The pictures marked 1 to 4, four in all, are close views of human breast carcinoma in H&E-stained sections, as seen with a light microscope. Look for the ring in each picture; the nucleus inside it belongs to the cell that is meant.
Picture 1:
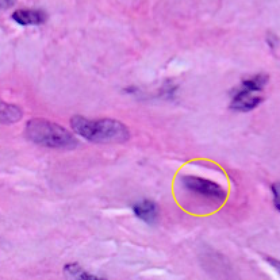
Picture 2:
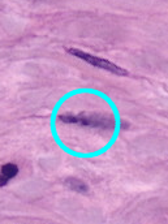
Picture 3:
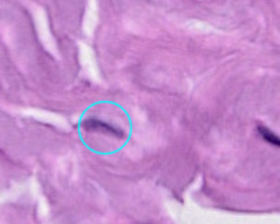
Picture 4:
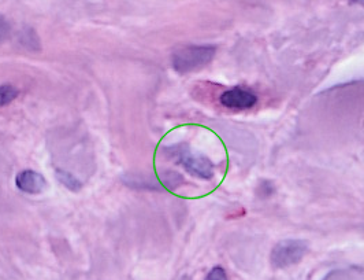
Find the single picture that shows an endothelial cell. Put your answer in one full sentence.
The cell in picture 1 is the endothelial cell.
